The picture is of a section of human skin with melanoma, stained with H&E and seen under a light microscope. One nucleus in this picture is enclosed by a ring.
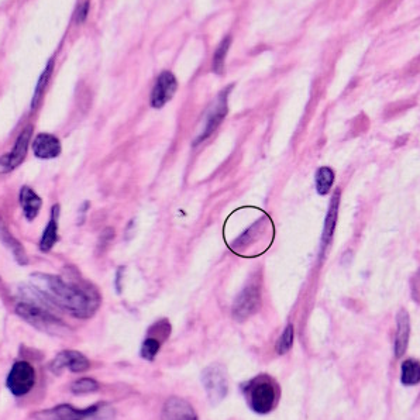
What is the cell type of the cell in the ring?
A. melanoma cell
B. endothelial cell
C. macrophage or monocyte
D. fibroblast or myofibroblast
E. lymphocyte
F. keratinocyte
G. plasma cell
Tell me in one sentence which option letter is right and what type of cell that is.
Option D is the right one; the cell in the ring is a fibroblast or myofibroblast.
